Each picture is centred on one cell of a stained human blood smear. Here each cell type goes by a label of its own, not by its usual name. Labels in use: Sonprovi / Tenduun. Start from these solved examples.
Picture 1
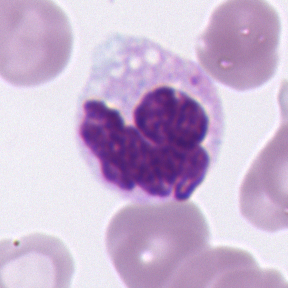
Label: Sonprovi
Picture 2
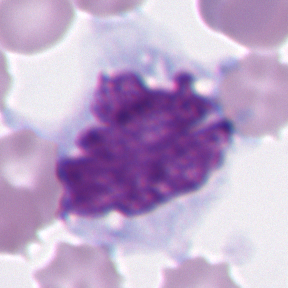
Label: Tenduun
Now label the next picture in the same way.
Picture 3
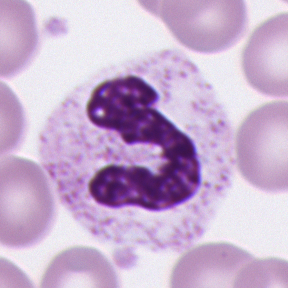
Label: Sonprovi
